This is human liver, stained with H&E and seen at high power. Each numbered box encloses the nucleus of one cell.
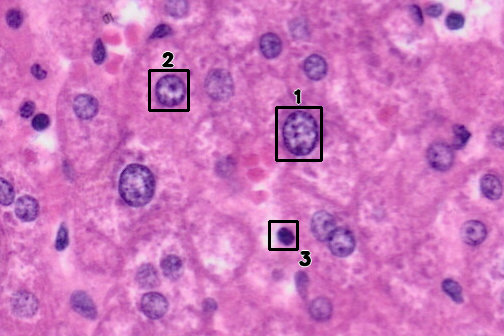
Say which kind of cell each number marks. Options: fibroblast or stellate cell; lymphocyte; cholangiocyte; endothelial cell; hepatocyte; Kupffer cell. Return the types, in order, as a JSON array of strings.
["hepatocyte", "hepatocyte", "lymphocyte"]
